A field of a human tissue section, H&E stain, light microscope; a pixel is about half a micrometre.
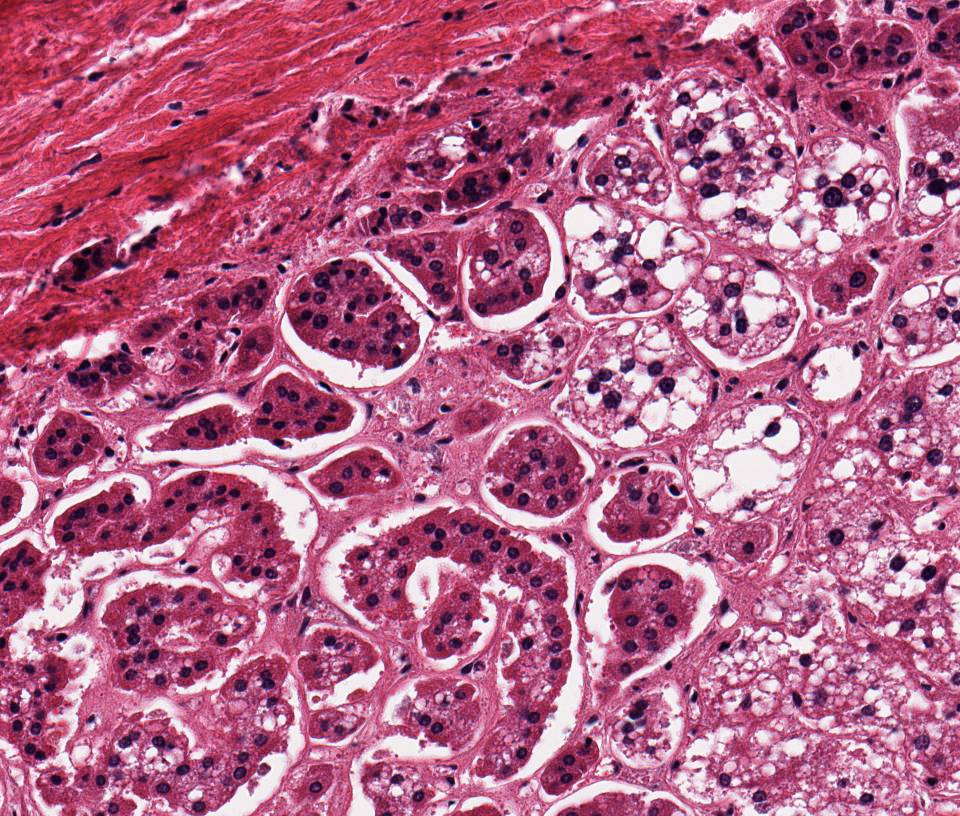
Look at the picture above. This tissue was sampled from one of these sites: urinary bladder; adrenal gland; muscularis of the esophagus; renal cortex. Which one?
adrenal gland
